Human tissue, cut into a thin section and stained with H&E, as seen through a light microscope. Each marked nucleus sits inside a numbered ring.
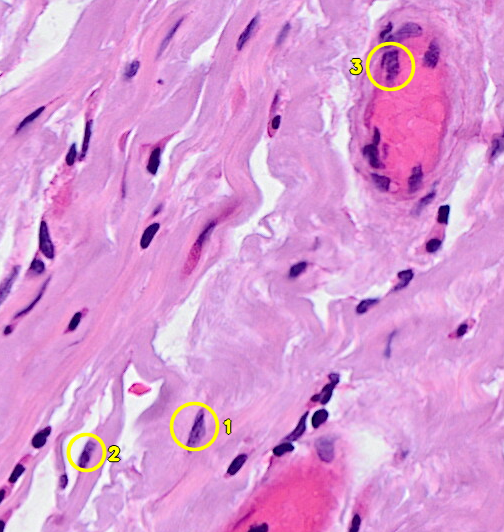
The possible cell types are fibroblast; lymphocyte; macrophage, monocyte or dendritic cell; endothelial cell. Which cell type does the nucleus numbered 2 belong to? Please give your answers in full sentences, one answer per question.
The marked cell with the number 2 is recognised as a fibroblast.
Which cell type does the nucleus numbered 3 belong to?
The cell that is numbered 3 is an endothelial cell.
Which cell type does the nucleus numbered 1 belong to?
The cell marked with the number 1 is a fibroblast.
